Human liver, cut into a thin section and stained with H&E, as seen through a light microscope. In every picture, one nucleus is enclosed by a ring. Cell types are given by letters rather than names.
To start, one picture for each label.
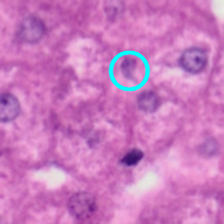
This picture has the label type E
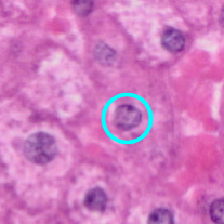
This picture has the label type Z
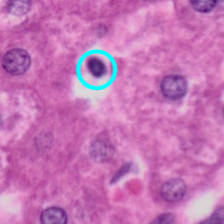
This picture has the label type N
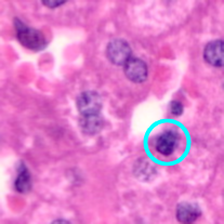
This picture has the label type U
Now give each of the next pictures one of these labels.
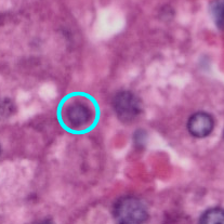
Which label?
type Z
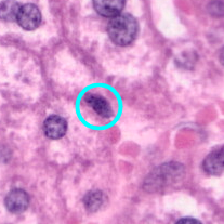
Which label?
type U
